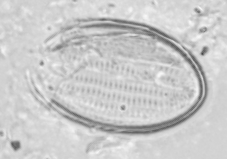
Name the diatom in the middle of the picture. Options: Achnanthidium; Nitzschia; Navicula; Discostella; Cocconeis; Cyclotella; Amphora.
Cocconeis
